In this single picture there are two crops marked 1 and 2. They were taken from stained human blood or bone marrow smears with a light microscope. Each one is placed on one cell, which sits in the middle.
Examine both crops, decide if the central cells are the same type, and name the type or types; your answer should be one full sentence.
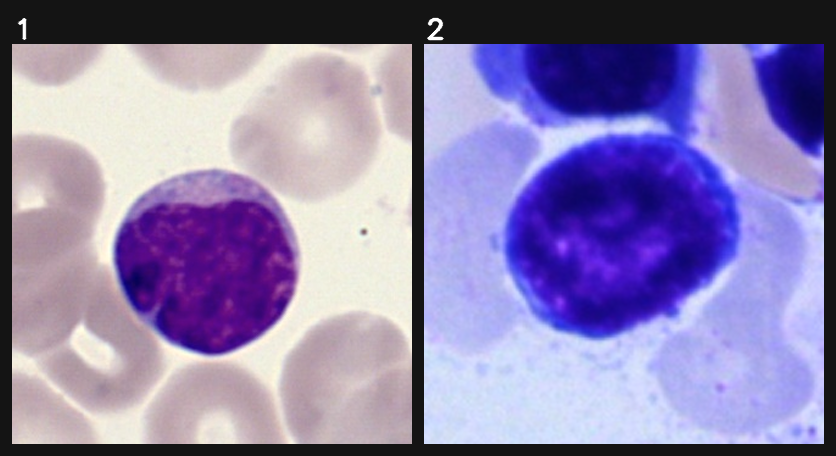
Yes, the centre of both crops is taken up by lymphocytes.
